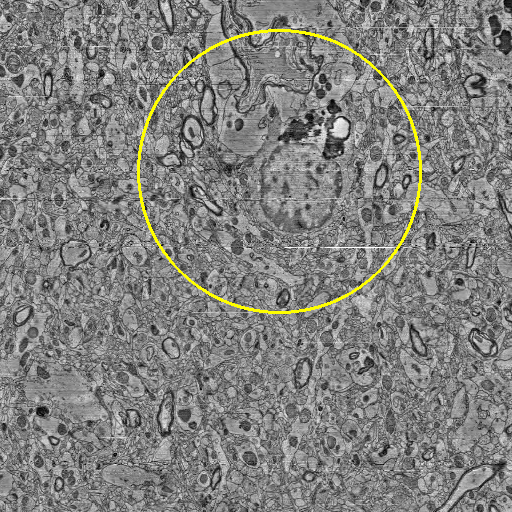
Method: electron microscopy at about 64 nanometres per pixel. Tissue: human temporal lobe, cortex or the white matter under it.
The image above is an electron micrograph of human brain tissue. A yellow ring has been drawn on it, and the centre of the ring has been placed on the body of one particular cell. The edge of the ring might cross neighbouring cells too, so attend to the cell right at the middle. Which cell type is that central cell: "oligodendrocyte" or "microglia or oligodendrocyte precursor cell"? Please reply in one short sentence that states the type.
The central cell in the ring is an oligodendrocyte.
